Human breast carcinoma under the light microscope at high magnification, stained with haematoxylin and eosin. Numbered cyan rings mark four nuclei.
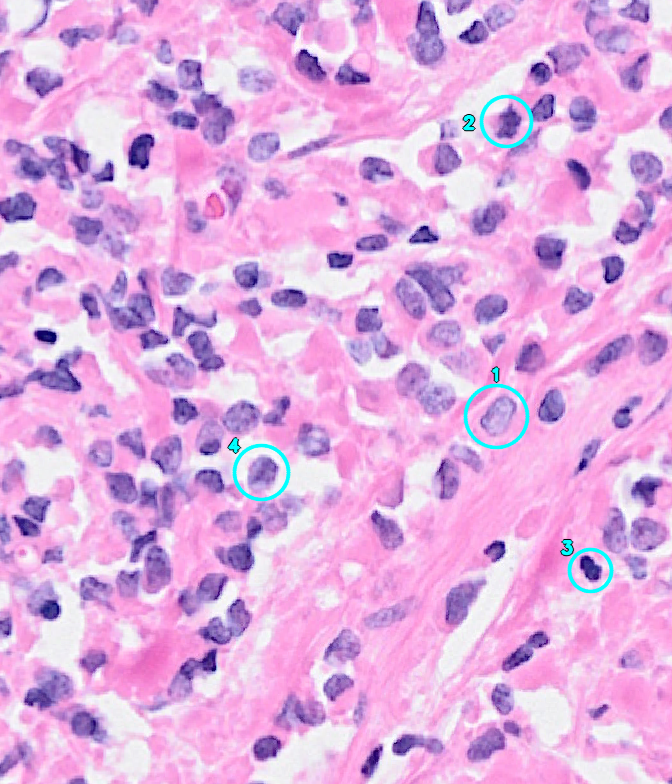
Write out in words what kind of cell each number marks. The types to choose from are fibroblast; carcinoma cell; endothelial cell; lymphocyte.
Cell 1 is a carcinoma cell, cell 2 is a carcinoma cell, cell 3 is a lymphocyte and cell 4 is a carcinoma cell.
